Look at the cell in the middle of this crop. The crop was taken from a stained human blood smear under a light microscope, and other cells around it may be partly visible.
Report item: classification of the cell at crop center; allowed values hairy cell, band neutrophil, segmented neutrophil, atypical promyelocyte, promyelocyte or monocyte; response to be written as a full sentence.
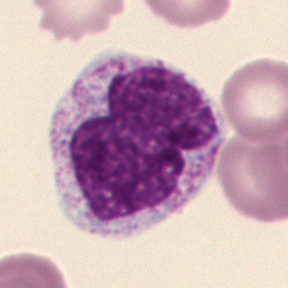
The crop centres on a single cell, and that cell is a band neutrophil.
